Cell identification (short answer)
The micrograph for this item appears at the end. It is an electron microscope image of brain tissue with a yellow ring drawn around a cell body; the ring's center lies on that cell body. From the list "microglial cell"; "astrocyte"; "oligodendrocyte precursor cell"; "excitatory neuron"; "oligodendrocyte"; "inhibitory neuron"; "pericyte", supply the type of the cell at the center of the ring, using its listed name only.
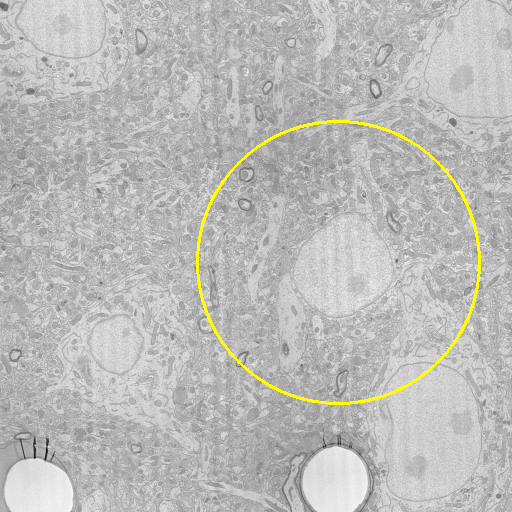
astrocyte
